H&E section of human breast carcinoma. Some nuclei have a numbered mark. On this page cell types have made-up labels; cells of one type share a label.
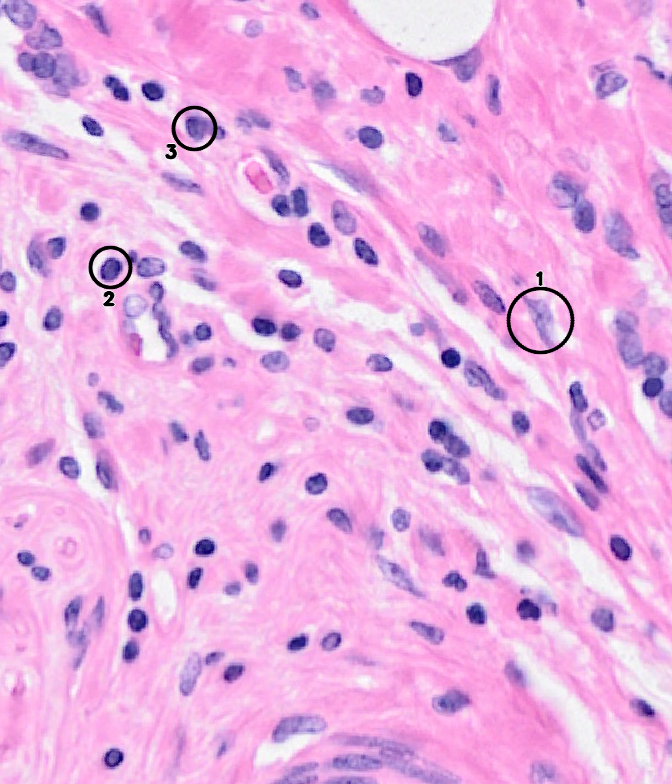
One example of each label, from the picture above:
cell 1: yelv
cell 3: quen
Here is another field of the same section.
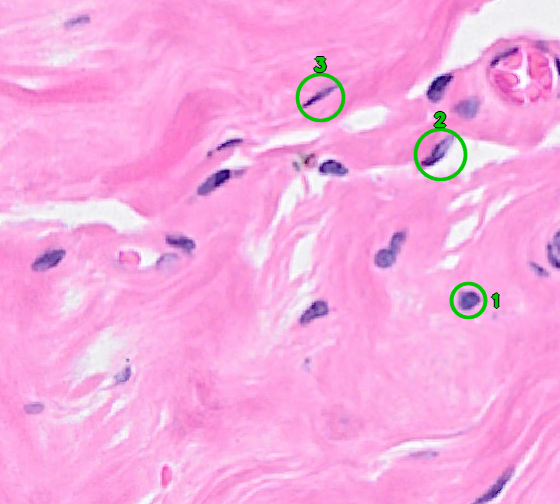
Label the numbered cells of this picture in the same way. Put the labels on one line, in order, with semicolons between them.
quen; yelv; yelv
